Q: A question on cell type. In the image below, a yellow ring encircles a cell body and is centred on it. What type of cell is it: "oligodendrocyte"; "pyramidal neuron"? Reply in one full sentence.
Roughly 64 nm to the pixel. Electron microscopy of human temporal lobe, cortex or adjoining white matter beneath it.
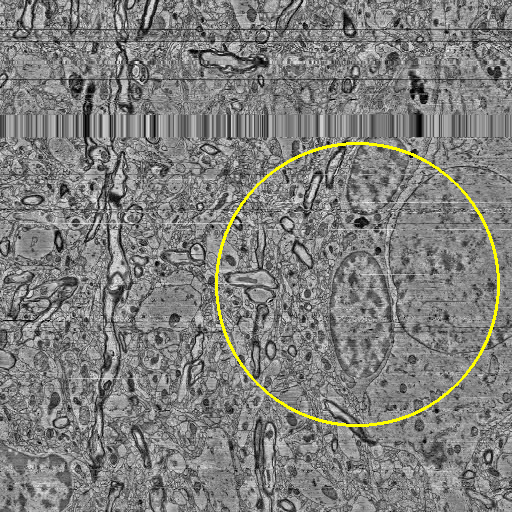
It is an oligodendrocyte whose cell body sits at the centre of the yellow ring in the image.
